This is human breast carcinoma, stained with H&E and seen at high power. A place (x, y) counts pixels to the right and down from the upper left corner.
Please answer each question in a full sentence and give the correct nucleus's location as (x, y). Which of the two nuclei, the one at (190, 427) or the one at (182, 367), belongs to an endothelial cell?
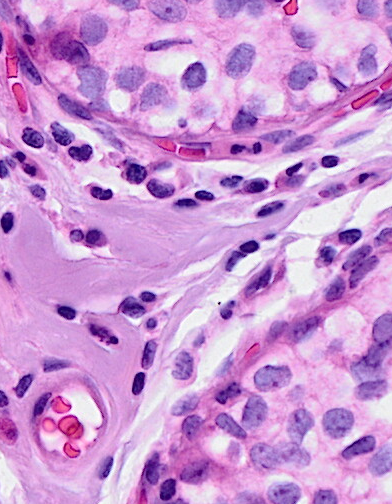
Between the pair, the nucleus at (190, 427) belongs to an endothelial cell.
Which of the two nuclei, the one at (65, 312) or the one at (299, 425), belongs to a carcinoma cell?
The nucleus that belongs to a carcinoma cell sits at (299, 425).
